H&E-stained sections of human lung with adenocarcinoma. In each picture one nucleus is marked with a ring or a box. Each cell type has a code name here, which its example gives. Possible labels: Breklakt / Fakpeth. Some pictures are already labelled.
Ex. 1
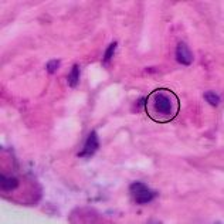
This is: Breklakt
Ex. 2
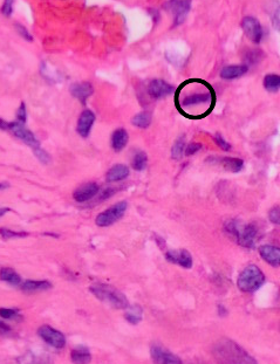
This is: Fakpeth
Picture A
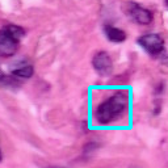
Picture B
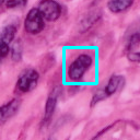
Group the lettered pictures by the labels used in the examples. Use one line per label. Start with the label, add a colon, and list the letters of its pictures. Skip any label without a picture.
Fakpeth: A, B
